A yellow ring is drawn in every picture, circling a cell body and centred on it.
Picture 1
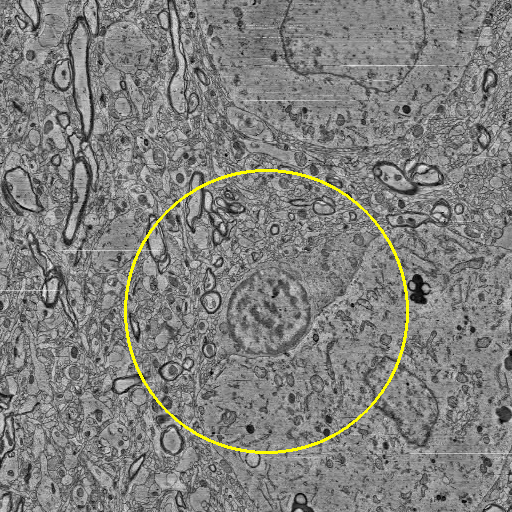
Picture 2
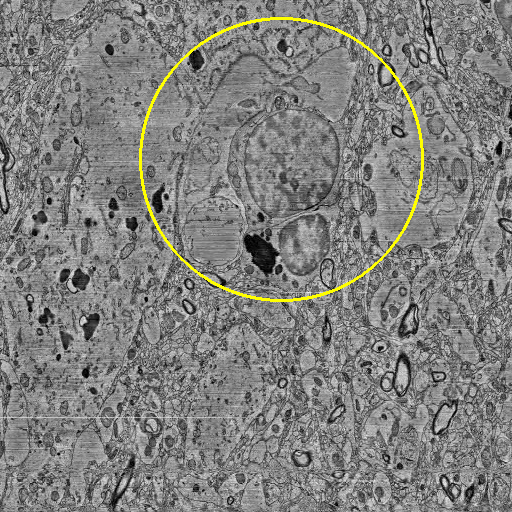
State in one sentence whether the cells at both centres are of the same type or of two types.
The cells at the two ring centres, one per picture, are of two types.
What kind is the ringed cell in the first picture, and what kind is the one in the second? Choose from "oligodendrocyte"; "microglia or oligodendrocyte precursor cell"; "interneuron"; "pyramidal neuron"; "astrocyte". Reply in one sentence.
The first cell is a microglial cell or oligodendrocyte precursor cell; the second is an oligodendrocyte.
